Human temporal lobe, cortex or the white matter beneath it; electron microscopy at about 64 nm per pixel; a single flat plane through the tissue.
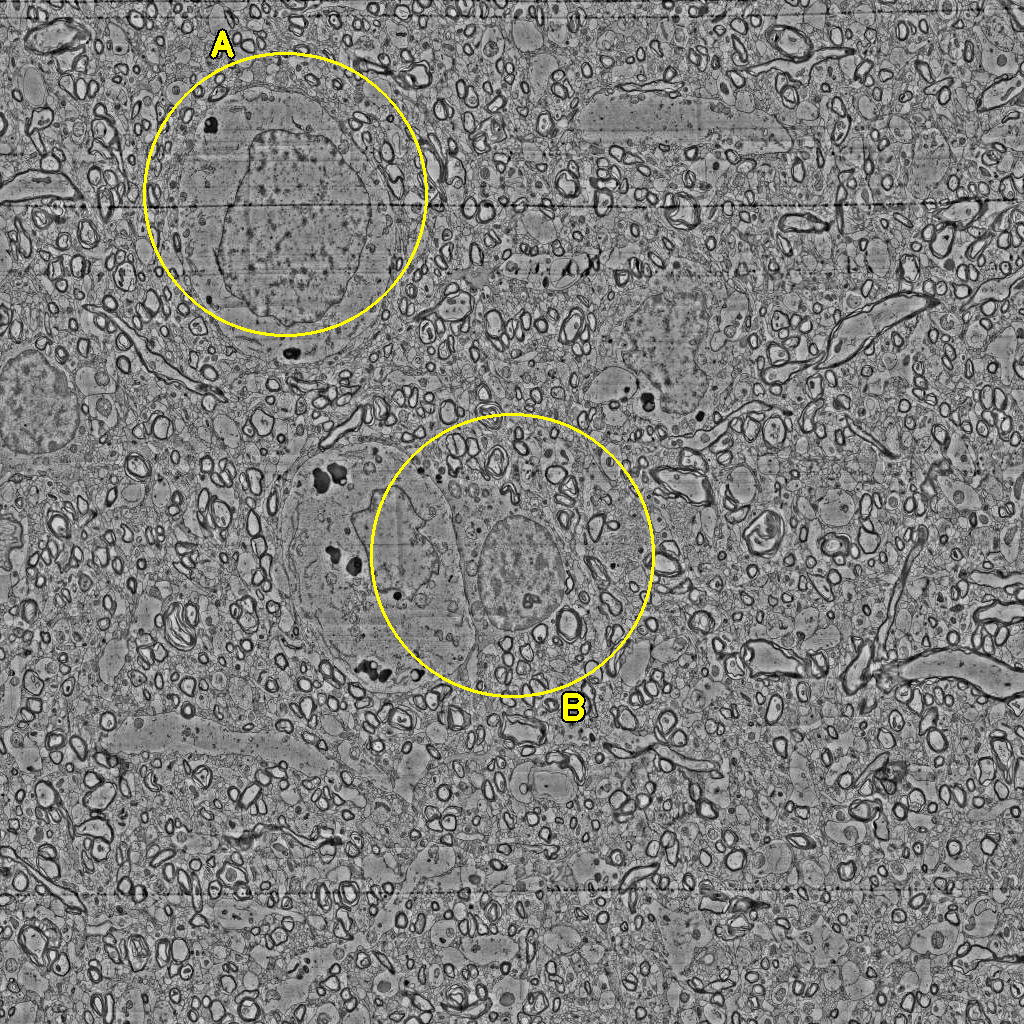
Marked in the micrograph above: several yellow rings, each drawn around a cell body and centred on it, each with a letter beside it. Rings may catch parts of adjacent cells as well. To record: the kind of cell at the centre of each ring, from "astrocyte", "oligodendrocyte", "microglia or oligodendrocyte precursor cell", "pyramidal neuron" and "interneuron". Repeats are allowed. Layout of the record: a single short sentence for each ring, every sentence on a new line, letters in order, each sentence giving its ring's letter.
At the centre of ring A lies a pyramidal neuron.
At the centre of ring B lies an oligodendrocyte.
